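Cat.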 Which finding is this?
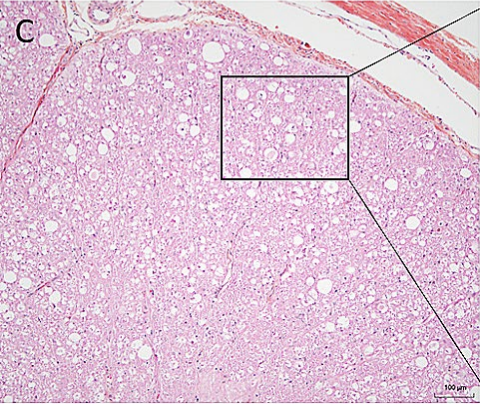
Wallerian-like degeneration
